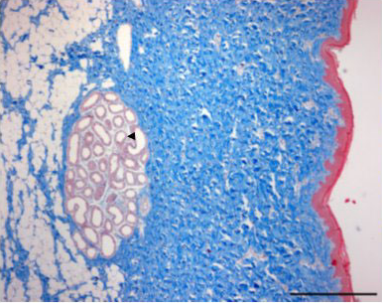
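This is a section of skin with a thin red-stained epidermis along the right edge and a dermis of dense blue-stained connective tissue beneath it. The dermis contains scattered small pale spaces but no hair follicles or muscle bundles. Deep in the dermis lies a cluster of coiled sweat gland tubules, seen as many small round profiles with pinkish walls and open lumens. This gland cluster is embedded directly in the blue connective tissue. To the left, the section passes into pale, open fatty tissue of the subcutis.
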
